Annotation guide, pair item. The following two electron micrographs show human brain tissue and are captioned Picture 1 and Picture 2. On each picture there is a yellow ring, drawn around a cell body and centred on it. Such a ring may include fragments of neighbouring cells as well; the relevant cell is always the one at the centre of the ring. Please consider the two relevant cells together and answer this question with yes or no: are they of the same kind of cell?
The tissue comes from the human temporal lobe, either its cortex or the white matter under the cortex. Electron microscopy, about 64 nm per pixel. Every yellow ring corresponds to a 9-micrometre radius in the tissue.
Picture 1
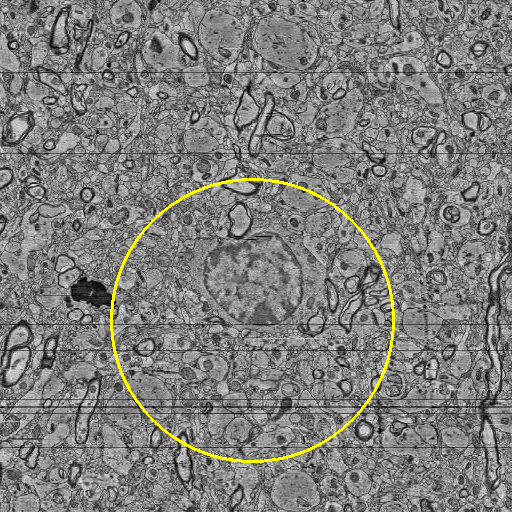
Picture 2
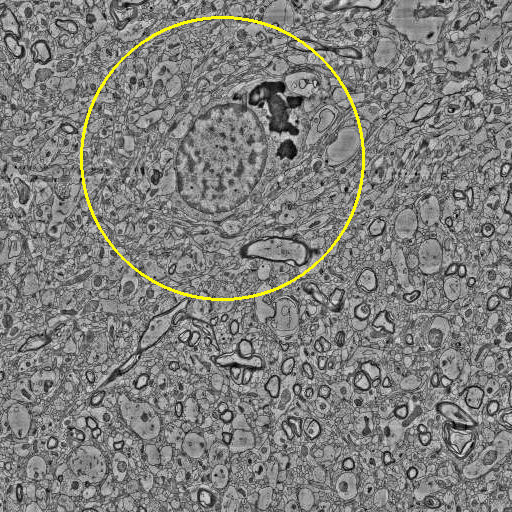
yes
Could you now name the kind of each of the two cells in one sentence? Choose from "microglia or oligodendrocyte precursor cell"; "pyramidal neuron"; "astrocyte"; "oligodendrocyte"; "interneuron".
Both pictures show an oligodendrocyte at the centre of the ring.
